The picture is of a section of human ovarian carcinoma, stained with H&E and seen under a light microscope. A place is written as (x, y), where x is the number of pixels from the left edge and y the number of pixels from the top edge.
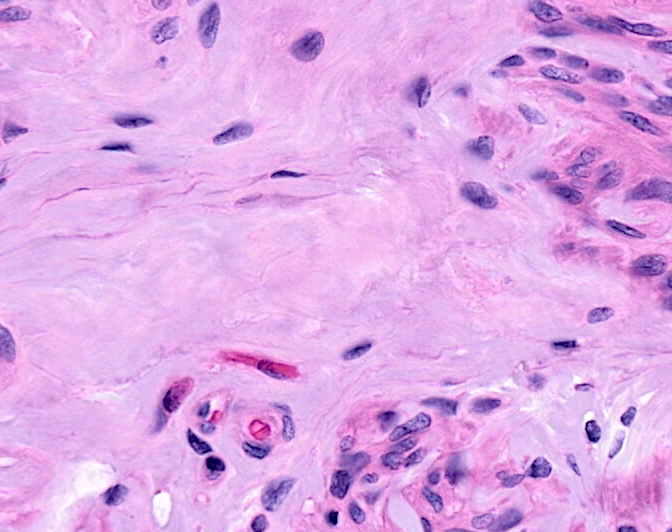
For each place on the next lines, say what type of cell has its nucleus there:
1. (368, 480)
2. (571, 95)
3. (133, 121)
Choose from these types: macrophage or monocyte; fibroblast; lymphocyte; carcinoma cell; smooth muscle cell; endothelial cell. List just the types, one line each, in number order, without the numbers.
smooth muscle cell
smooth muscle cell
fibroblast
